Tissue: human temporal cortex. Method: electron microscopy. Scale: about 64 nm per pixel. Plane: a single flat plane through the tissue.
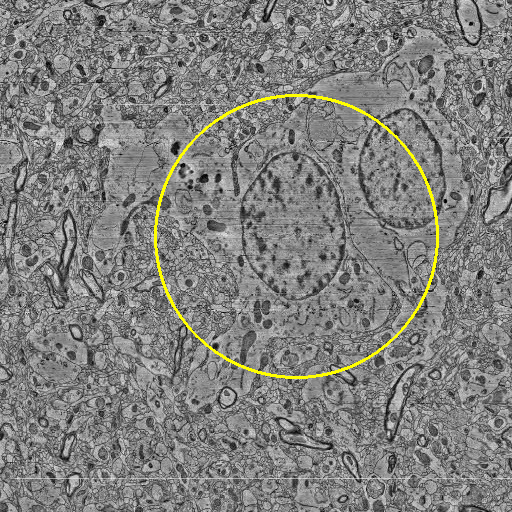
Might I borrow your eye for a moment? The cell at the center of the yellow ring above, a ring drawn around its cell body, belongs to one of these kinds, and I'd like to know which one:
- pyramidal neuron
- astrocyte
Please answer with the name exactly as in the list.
astrocyte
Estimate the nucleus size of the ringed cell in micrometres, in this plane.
About 10 by 7 micrometres in this plane.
